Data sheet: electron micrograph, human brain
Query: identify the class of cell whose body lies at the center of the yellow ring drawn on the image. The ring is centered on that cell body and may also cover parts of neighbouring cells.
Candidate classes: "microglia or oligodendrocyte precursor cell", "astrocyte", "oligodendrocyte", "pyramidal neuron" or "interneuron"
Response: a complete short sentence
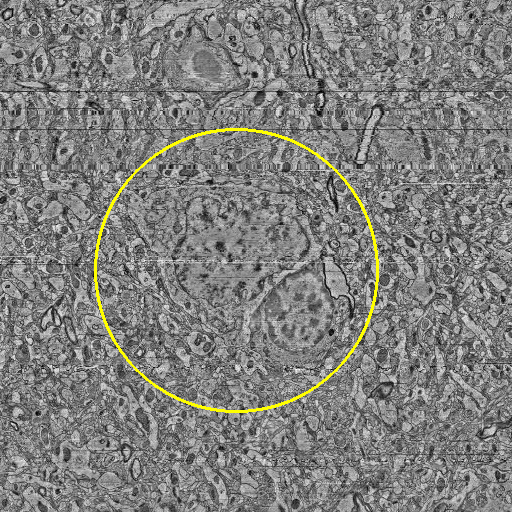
At the center of the ring lies an interneuron.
